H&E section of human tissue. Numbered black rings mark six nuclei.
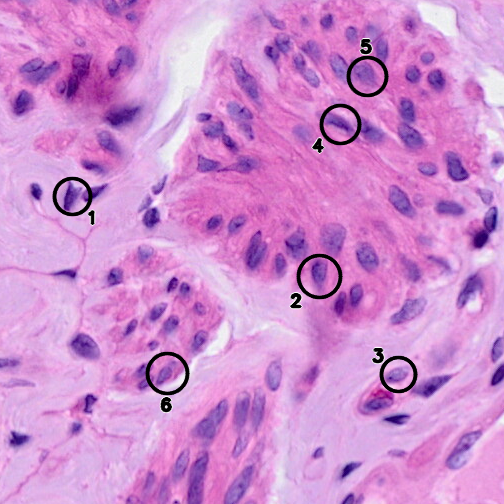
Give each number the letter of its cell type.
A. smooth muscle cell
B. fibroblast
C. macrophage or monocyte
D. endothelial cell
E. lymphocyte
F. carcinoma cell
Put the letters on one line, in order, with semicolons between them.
B; A; D; A; A; A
